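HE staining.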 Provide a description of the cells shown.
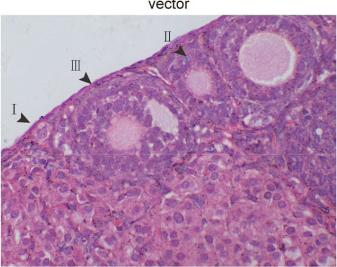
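Cortex of ovary beneath a thin surface layer, with several growing follicles. Each follicle has a round oocyte with pale pink cytoplasm surrounded by one or more compact layers of granulosa cells with purple nuclei. The follicle walls look orderly and tightly packed.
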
